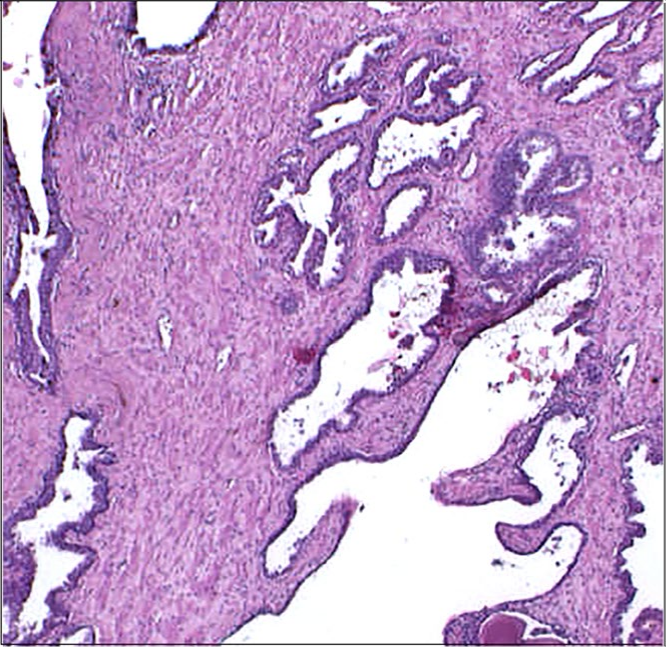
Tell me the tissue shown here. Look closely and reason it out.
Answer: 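The glands sit in a broad pink stroma of densely packed spindle-shaped cells. Some glands are dilated into large, largely empty spaces. That points to this answer: Prostate.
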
